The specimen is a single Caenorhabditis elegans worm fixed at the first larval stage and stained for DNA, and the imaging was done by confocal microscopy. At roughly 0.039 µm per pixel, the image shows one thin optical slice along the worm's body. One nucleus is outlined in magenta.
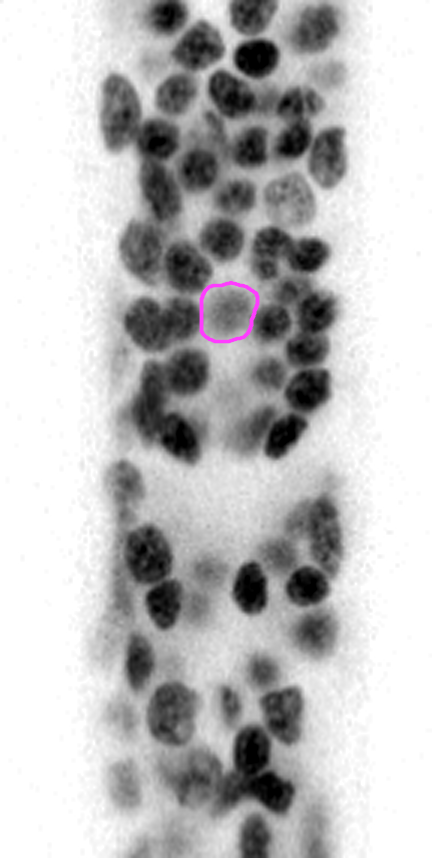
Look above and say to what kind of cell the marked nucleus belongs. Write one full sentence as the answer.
The cell with the marked nucleus is a neuron.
